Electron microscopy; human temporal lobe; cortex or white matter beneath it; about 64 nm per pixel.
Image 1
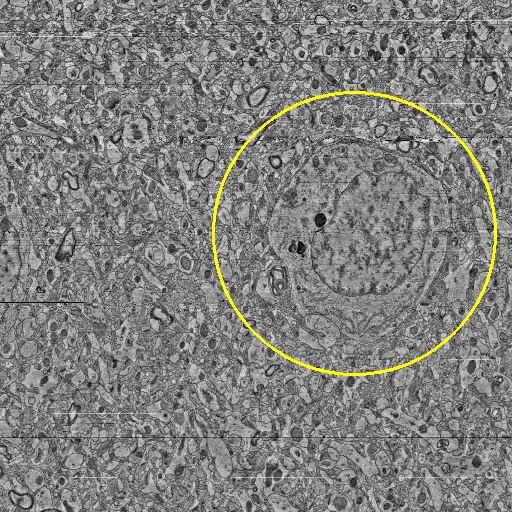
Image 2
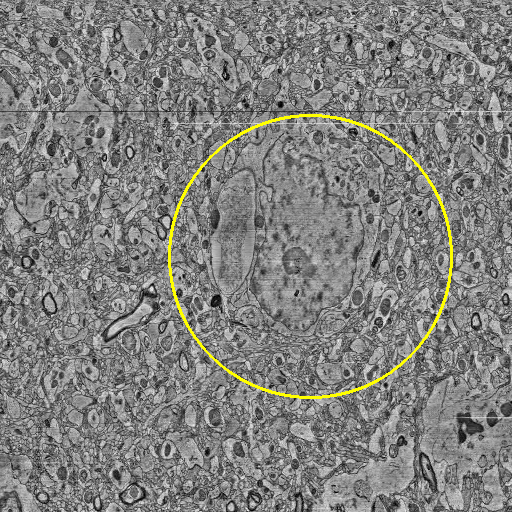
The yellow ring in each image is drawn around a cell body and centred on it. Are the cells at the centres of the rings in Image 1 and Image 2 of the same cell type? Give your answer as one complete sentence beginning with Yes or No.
Yes, both cells are of the same type.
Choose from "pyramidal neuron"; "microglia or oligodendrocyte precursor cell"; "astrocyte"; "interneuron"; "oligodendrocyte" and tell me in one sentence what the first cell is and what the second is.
Each of the two cells is an interneuron.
